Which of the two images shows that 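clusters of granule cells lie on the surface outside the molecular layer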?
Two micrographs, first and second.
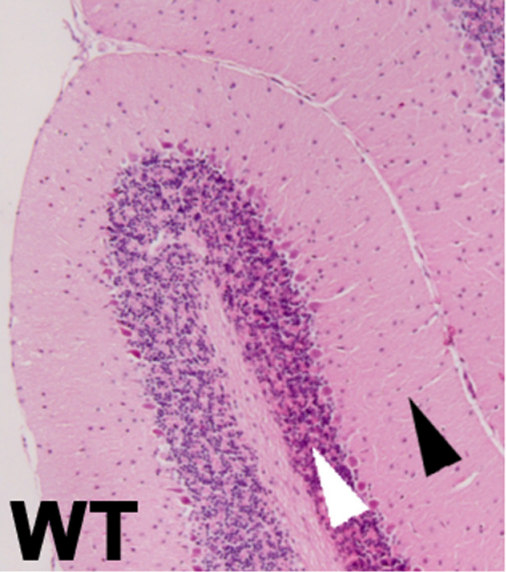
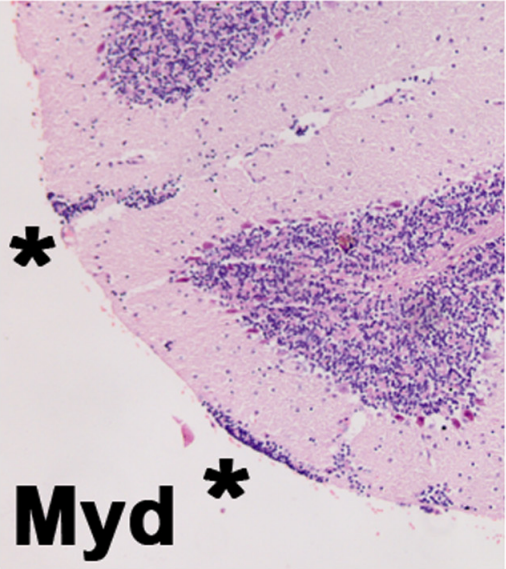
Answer: The second image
